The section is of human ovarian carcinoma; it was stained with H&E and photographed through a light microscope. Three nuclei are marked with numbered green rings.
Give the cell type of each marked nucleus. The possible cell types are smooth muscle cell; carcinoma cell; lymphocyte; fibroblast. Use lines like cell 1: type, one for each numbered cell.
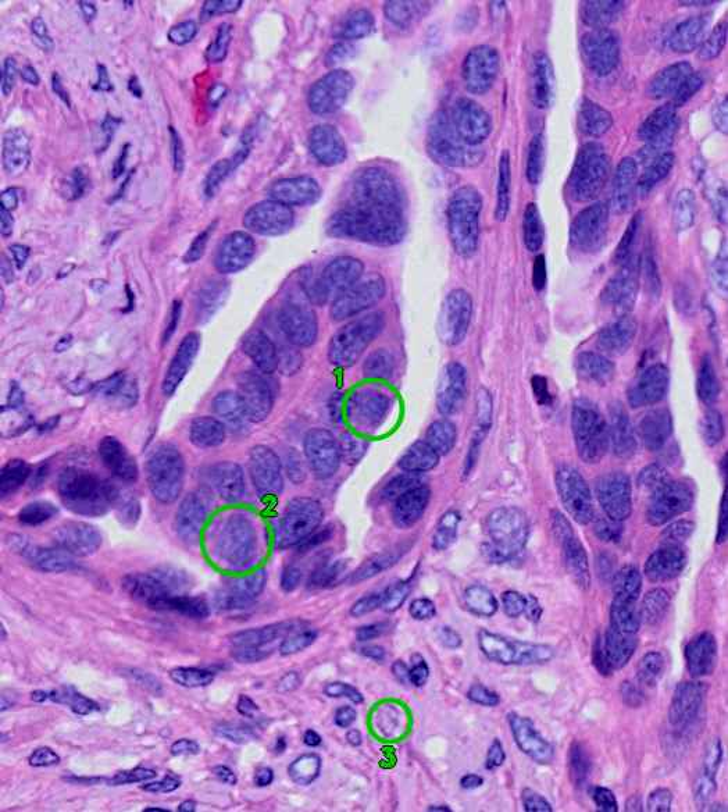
cell 1: carcinoma cell
cell 2: carcinoma cell
cell 3: fibroblast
